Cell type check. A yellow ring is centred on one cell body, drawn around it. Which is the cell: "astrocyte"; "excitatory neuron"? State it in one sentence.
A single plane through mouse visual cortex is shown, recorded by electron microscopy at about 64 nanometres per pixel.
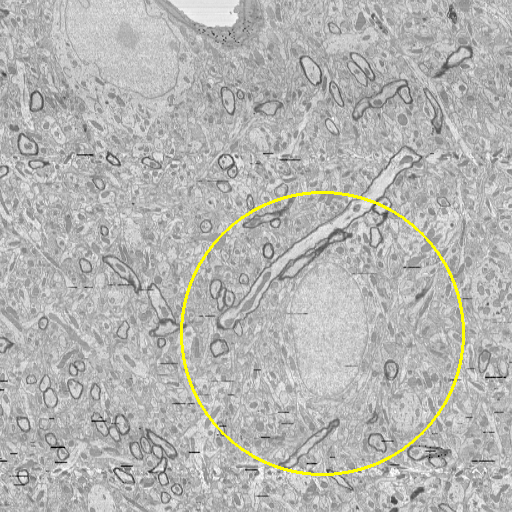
The cell body at the ring's centre belongs to an astrocyte.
